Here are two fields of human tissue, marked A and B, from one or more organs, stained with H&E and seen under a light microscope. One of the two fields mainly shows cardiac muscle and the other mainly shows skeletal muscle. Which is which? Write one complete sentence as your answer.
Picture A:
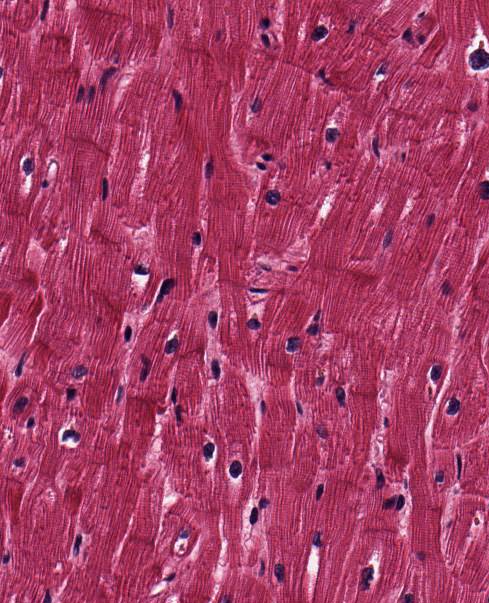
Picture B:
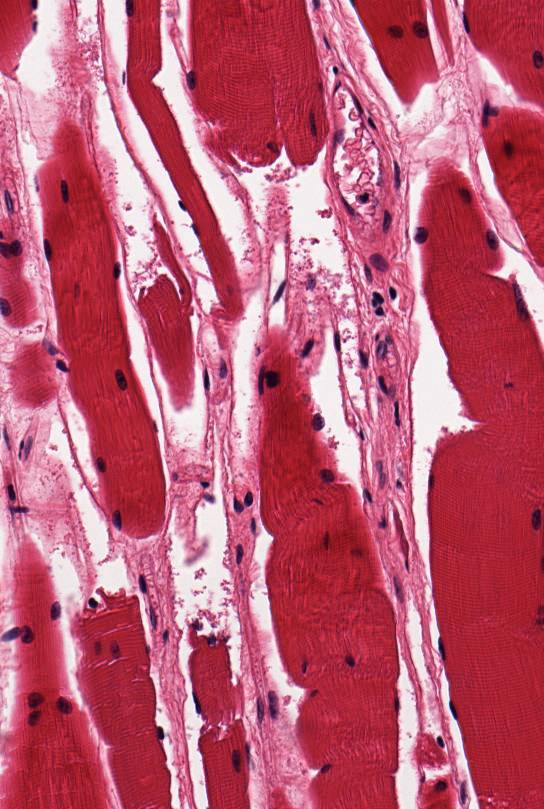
Picture B mainly shows skeletal muscle, while picture A mainly shows cardiac muscle.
